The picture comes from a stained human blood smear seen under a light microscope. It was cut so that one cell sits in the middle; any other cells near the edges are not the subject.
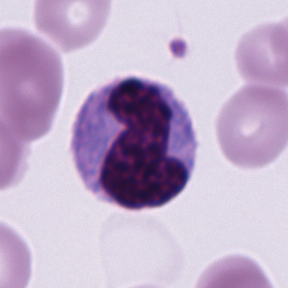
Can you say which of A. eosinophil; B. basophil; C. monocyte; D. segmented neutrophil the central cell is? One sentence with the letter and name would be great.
Option C gives the correct identity of the central cell, namely a monocyte.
